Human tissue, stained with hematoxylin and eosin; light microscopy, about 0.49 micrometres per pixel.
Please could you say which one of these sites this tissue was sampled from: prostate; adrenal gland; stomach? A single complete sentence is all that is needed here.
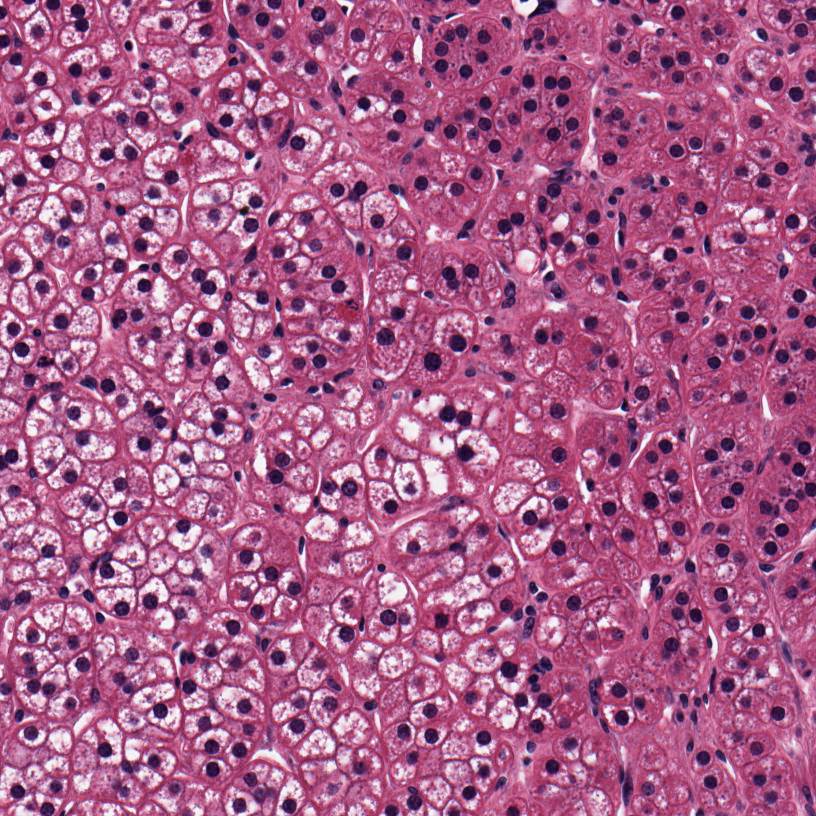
The tissue seen in this section was sampled from the adrenal gland.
